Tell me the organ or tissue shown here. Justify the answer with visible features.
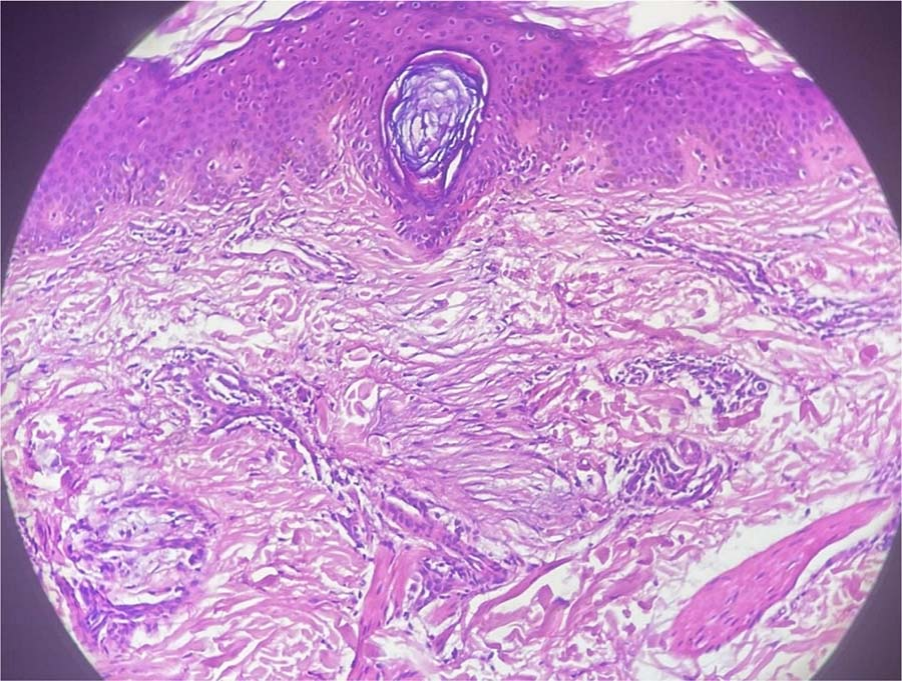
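A stratified squamous epithelium lines the top of the field. A round keratin-filled plug lies within it. So: normal epidermis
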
